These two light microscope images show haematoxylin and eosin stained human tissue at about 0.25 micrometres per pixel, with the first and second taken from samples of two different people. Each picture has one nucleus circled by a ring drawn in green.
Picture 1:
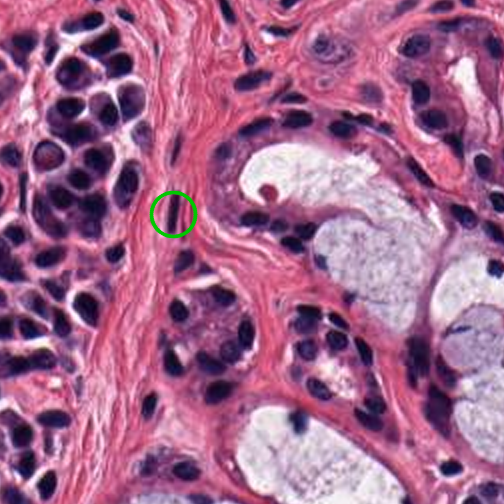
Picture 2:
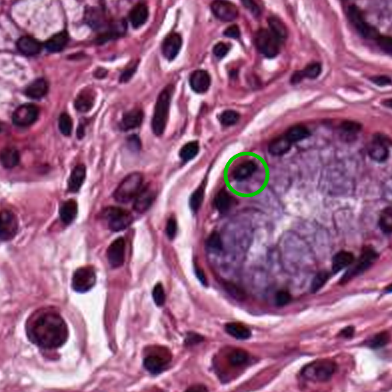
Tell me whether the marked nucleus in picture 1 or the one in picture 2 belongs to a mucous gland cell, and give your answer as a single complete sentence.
In picture 2, the marked nucleus is part of a mucous gland cell, which is not so in the other picture.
